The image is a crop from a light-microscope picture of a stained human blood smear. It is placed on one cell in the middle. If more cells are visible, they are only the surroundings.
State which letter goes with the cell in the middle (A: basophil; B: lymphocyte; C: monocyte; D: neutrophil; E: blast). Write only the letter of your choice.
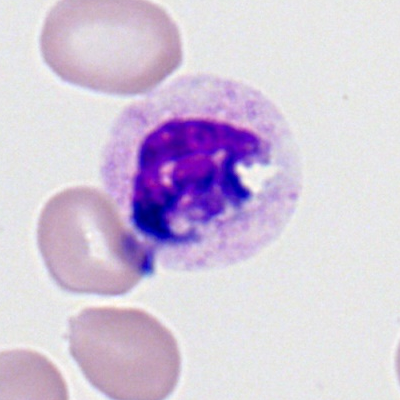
D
